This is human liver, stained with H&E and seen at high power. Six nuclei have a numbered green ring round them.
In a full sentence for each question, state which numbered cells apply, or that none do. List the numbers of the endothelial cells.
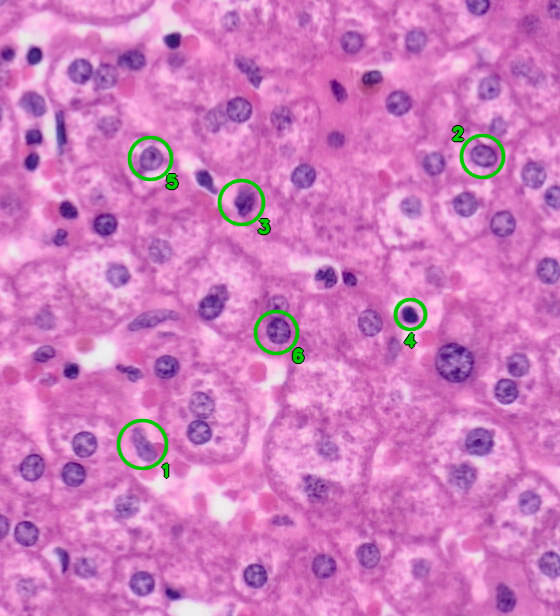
Among the marked cells, cell number 3 alone is an endothelial cell.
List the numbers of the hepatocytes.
Classified as hepatocytes are the cells numbered 2, 5 and 6.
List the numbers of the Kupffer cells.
Cell 1 is the only one of the numbered cells that is a Kupffer cell.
